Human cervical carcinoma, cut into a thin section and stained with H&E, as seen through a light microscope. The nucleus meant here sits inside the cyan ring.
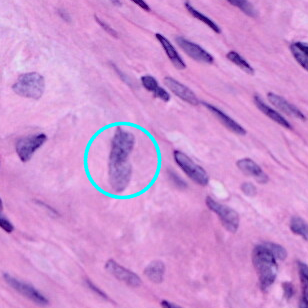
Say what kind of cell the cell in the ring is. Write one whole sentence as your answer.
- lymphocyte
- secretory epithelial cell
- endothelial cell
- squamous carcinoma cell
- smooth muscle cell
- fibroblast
In this tissue sample, the cell in the ring is a fibroblast.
